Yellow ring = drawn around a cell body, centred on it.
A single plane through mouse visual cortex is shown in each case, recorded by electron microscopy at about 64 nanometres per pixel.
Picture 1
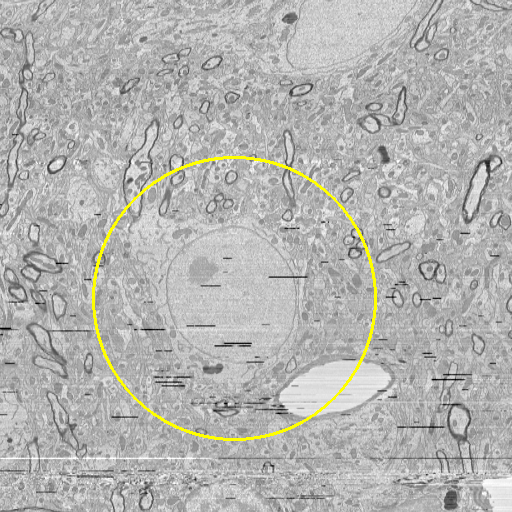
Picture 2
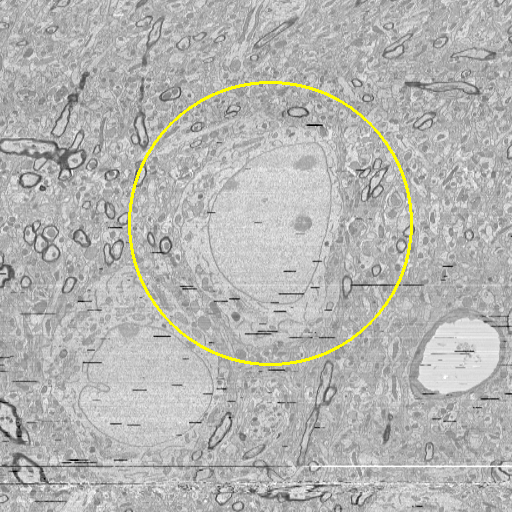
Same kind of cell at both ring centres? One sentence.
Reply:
Yes, they are the same kind of cell.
